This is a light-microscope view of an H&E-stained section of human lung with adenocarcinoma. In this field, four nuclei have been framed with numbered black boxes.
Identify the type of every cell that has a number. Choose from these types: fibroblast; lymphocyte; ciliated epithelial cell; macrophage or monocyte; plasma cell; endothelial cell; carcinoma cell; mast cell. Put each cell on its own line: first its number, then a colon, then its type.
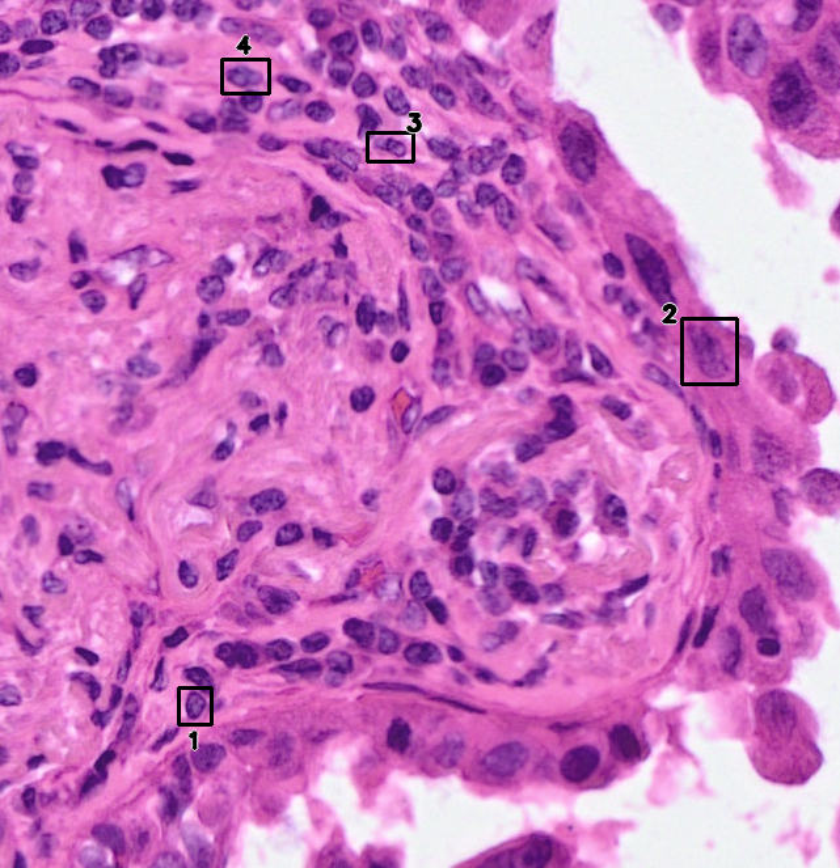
1: lymphocyte
2: carcinoma cell
3: lymphocyte
4: lymphocyte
